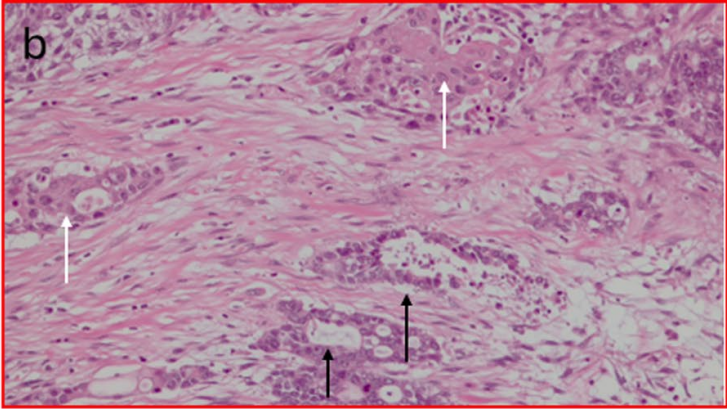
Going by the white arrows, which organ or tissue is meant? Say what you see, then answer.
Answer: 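Squamous cell carcinoma. The cells in these nests have abundant pink cytoplasm and large nuclei.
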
